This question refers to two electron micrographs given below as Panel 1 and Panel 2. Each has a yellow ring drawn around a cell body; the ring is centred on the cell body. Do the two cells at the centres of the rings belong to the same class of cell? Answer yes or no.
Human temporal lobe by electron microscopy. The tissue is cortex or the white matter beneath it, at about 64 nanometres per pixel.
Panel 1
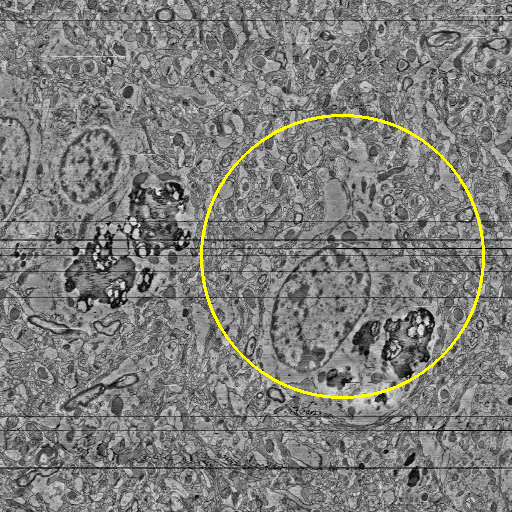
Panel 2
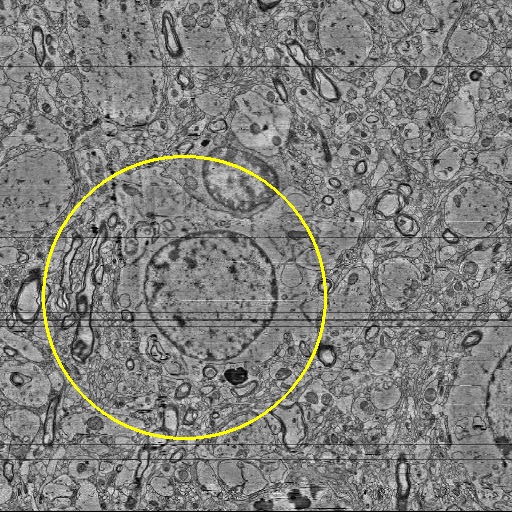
yes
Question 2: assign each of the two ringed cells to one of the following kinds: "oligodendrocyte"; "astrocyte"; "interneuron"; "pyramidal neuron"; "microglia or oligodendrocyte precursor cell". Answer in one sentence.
The cell at the ring centre is an astrocyte in both pictures.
